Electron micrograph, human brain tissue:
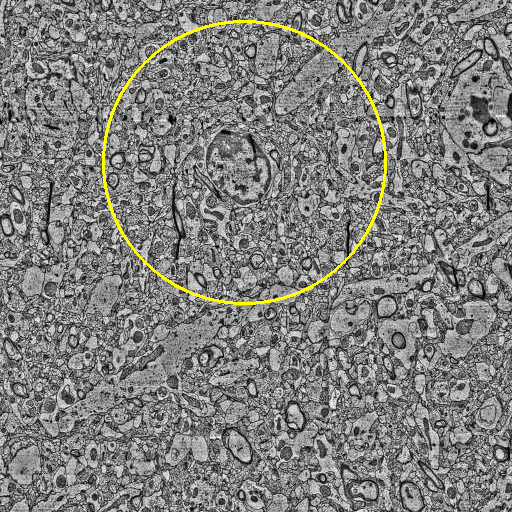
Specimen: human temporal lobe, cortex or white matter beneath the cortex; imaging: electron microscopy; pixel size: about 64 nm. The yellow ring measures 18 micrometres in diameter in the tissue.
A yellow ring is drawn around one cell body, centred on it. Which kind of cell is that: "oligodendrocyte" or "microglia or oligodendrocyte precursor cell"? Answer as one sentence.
It is a microglial cell or oligodendrocyte precursor cell at the centre of the ring.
